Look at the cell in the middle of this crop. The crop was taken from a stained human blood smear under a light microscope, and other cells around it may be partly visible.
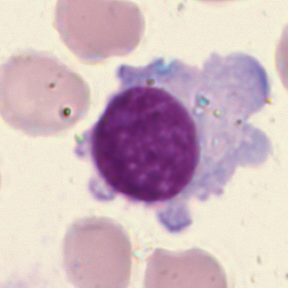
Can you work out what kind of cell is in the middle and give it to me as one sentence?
Looking at the middle of the crop, the cell there is a plasma cell.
